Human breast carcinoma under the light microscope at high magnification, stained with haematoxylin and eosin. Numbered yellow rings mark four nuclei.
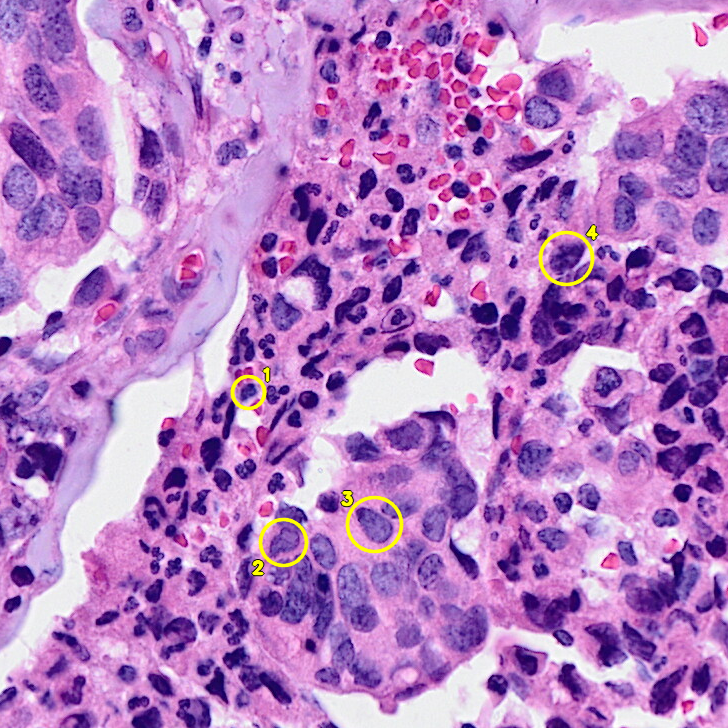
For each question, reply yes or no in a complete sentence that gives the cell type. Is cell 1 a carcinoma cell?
No, it's not a carcinoma cell at number 1; that cell is a lymphocyte.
